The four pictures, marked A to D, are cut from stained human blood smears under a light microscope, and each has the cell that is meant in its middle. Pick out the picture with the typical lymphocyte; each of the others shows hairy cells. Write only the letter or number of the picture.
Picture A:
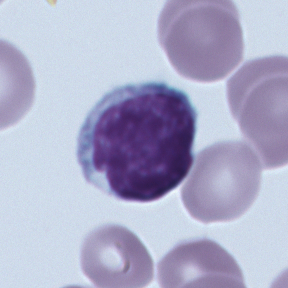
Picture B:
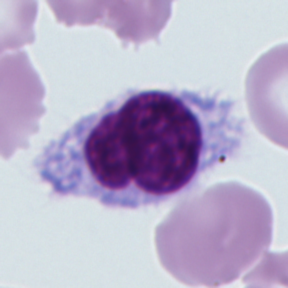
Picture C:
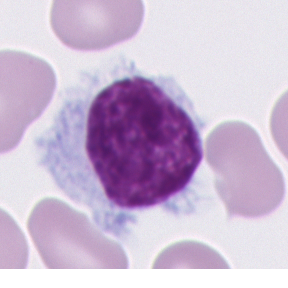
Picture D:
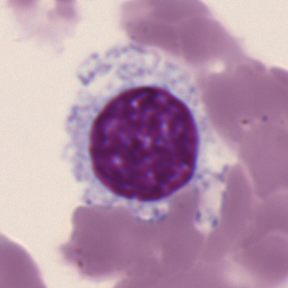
A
